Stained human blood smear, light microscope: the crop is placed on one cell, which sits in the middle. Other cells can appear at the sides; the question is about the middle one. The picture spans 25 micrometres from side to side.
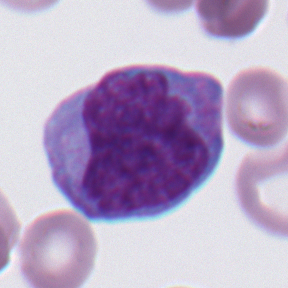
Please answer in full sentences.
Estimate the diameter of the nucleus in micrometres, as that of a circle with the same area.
Taken as a circle, the nucleus has a diameter of about 11 micrometres.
